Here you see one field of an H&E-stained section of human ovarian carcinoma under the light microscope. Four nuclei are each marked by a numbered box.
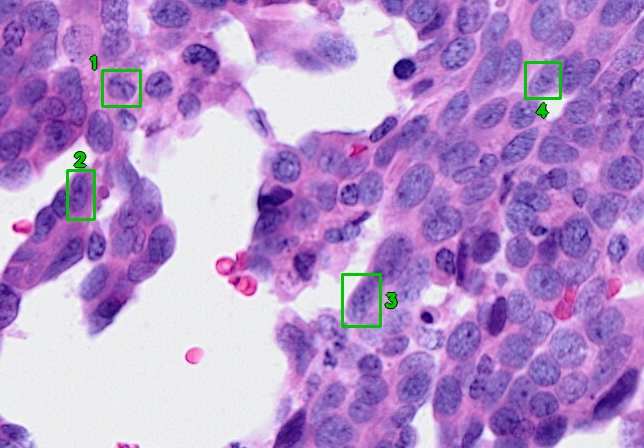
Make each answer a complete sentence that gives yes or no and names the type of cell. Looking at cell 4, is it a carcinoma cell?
Yes, the cell referred to as number 4 is a carcinoma cell.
